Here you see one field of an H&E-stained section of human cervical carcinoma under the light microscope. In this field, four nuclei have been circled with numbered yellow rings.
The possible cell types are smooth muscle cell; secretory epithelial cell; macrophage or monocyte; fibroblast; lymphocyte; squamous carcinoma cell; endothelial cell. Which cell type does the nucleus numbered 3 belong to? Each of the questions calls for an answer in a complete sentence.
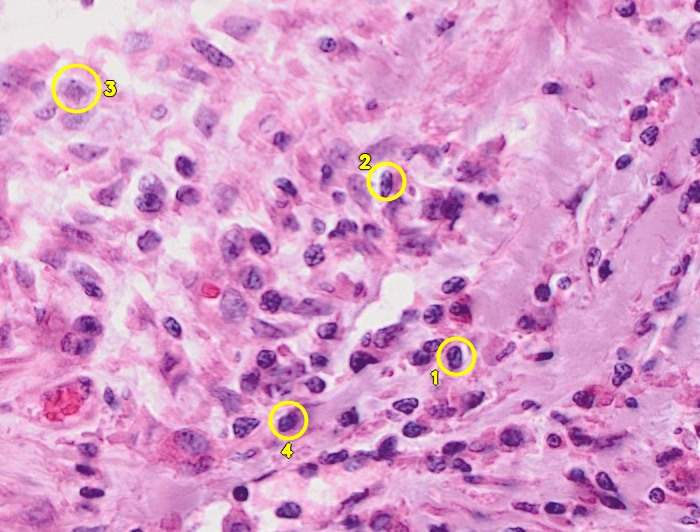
What the number 3 marks in this field is a fibroblast.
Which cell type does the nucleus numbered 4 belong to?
Corresponding to a lymphocyte is the cell labelled 4.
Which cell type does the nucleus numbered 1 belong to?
The cell that is numbered 1 is a lymphocyte.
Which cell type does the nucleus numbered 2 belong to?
The marked cell with the number 2 is recognised as a lymphocyte.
